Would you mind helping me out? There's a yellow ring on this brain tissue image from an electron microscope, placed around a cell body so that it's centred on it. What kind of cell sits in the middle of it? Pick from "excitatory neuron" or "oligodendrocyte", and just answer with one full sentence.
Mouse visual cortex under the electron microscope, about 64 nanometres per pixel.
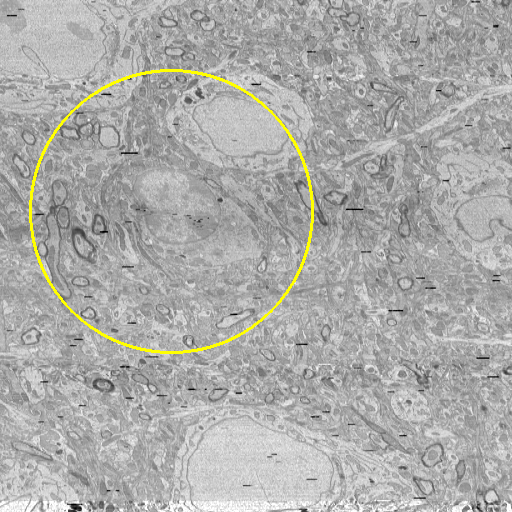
What sits in the middle of that yellow ring is an oligodendrocyte, from your choices.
